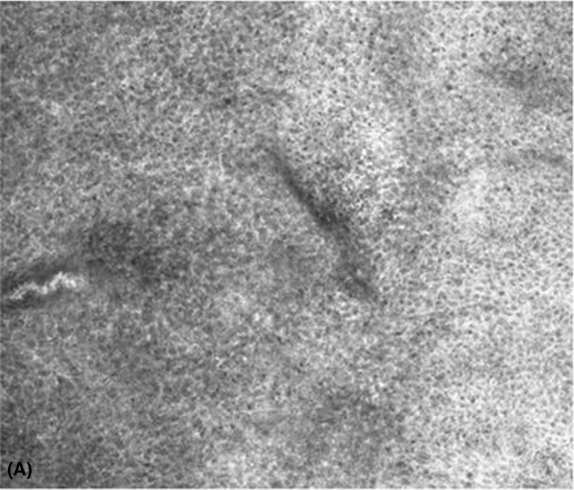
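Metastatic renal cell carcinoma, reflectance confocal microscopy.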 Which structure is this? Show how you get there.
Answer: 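A regular network of fine bright lines outlines small dark polygonal spaces across the field. On this evidence: Honeycomb pattern.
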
